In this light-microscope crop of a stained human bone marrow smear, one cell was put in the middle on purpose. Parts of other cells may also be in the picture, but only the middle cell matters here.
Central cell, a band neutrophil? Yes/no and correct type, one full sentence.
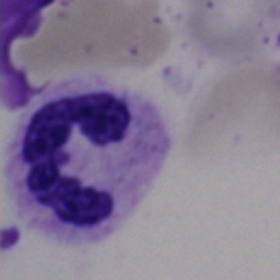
No, the cell in the middle is a segmented neutrophil; it is not a band neutrophil.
